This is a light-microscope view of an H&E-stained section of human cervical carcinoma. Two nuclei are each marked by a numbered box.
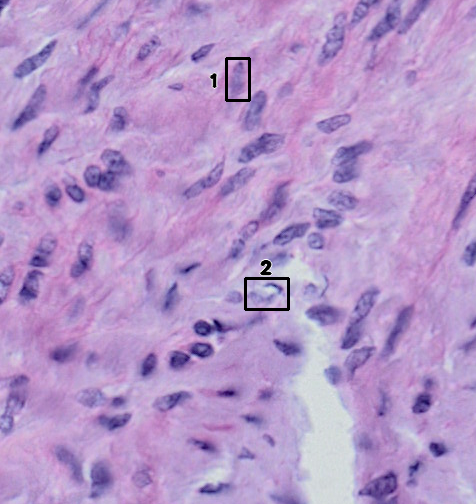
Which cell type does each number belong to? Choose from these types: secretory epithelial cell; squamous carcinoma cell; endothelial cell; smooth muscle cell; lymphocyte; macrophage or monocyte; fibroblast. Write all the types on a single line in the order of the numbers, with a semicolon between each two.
smooth muscle cell; fibroblast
